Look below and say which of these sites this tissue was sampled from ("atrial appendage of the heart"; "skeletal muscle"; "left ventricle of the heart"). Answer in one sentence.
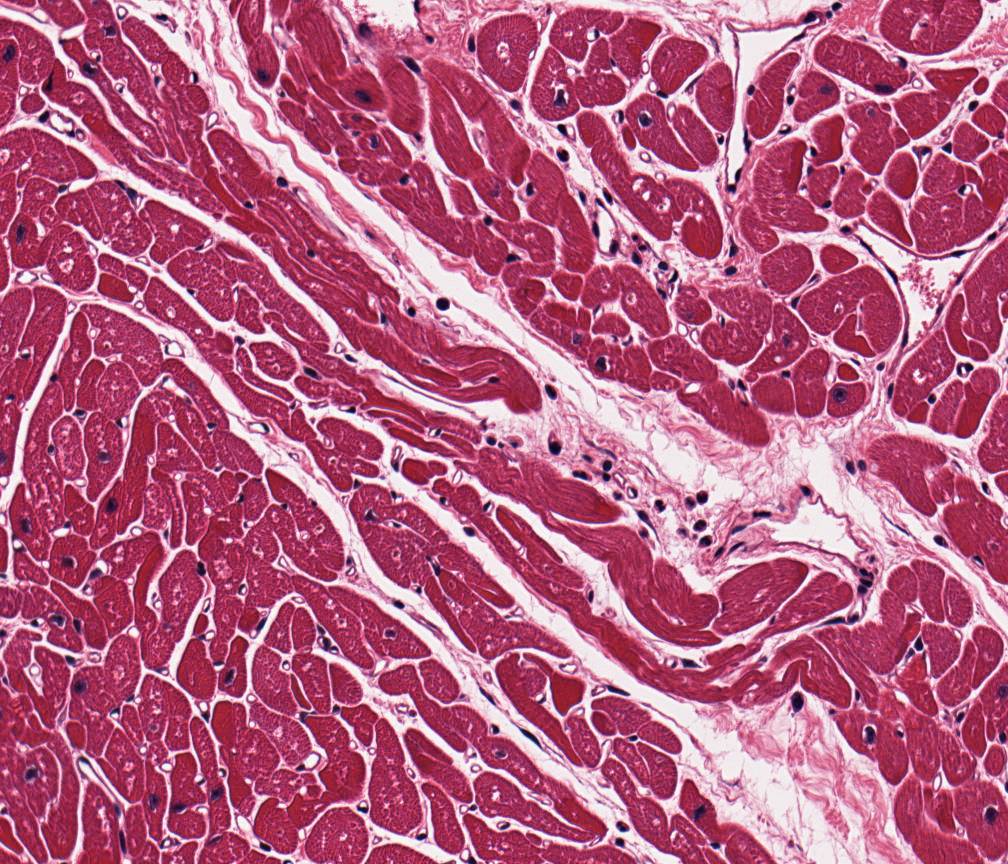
The site this tissue was sampled from is the left ventricle of the heart.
